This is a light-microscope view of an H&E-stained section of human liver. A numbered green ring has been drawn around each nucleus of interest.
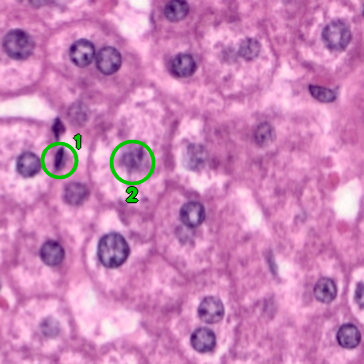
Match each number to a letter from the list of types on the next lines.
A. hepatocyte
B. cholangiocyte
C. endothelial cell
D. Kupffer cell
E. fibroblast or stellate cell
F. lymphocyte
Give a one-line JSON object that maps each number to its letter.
{"1": "C", "2": "A"}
